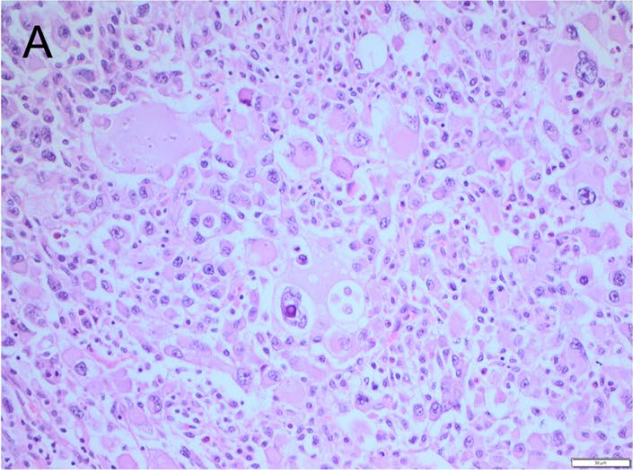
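Pleomorphic tumor cells lie loosely arranged, with intermixed tumor giant cells and admixed inflammatory cells. The tumor cells vary greatly in size and shape, from polygonal to elongated, with ample pink cytoplasm and round to oval nuclei, many with prominent nucleoli. Scattered giant cells are several times larger than their neighbours, with broad eosinophilic cytoplasm, sometimes containing clear vacuoles, and large nuclei. Between them are small round inflammatory cells with dark compact nuclei. The cells do not form glands or orderly sheets, and the pattern is discohesive.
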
